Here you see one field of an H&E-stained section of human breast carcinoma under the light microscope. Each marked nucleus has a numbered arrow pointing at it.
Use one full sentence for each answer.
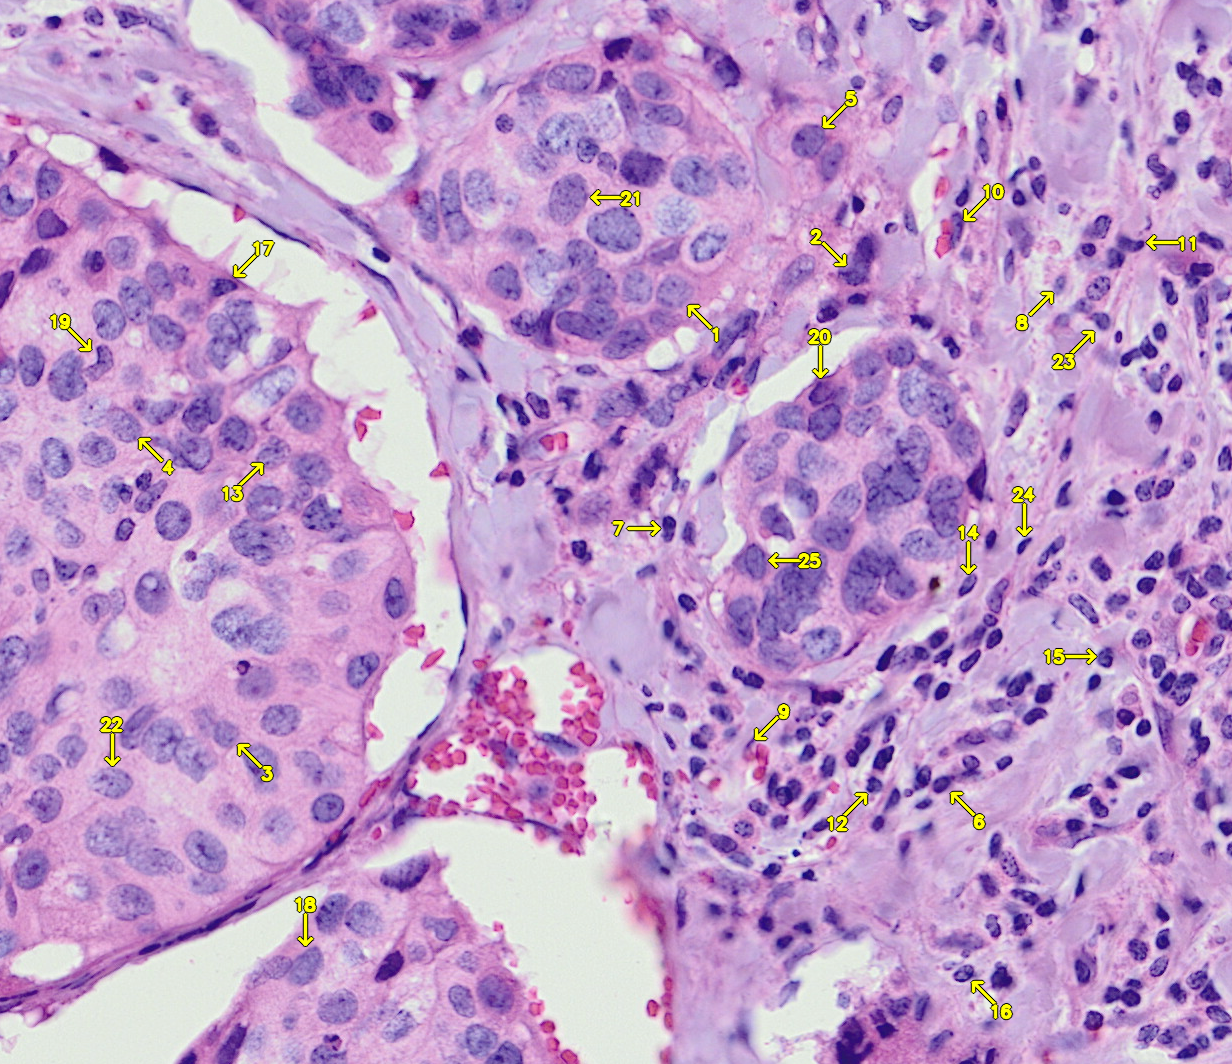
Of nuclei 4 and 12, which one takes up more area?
The larger nucleus is 4, at roughly 2.5 times the area of 12.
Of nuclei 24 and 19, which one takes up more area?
Nucleus 19 covers more area, about 3 times as much as nucleus 24.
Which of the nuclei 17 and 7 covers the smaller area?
Nucleus 7 covers less area, with nucleus 17 about 1.5 times as large.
